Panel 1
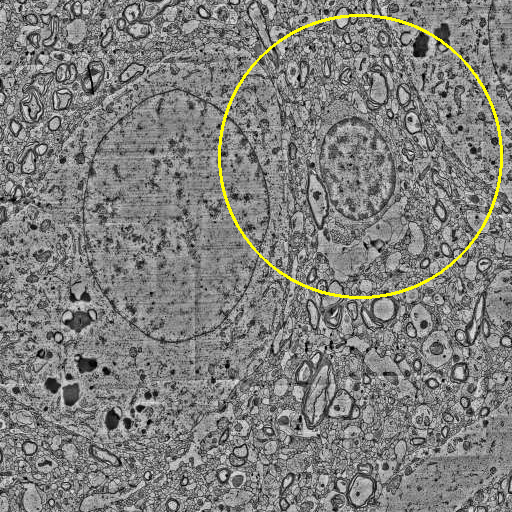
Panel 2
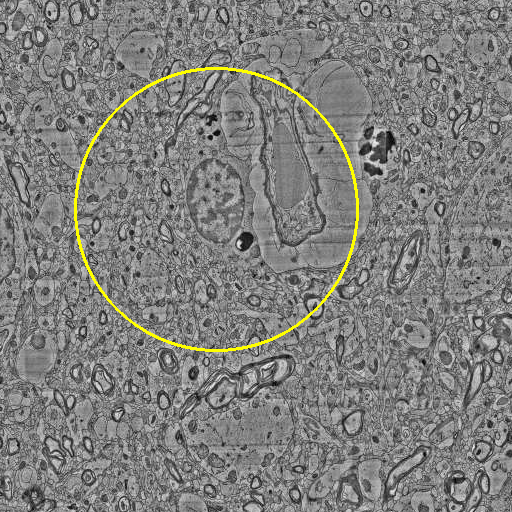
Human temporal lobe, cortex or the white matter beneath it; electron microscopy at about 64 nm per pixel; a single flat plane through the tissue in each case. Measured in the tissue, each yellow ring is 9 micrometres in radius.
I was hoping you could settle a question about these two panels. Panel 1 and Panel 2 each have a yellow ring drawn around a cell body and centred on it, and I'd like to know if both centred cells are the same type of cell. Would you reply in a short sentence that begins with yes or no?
Yes, both are the same type of cell.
